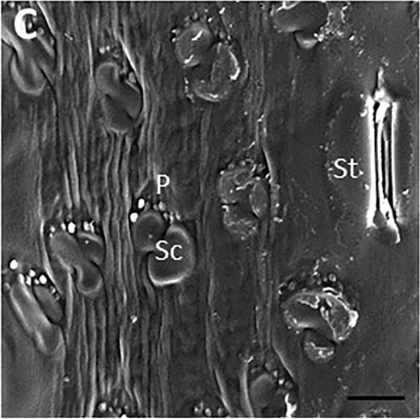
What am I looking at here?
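Long epidermal cell files run vertically, their boundaries seen as fine longitudinal ridges. Along the files sit small lobed, dumbbell- or kidney-shaped silica cells, each accompanied by a little cluster of rounded bead-like papillae beside it. To the right lies a stoma, an elongated slit with raised lips aligned with the cell files. The silica cells and papillae repeat at fairly regular intervals, giving the surface a patterned appearance.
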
